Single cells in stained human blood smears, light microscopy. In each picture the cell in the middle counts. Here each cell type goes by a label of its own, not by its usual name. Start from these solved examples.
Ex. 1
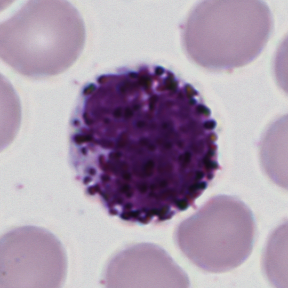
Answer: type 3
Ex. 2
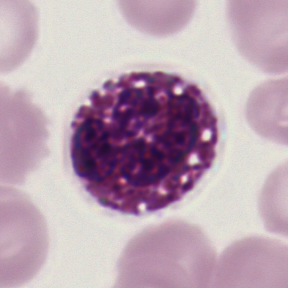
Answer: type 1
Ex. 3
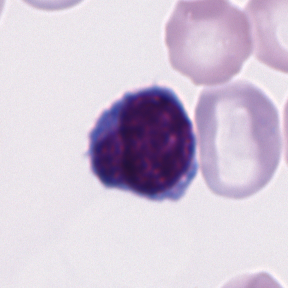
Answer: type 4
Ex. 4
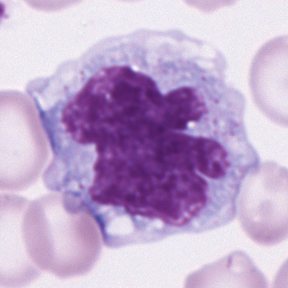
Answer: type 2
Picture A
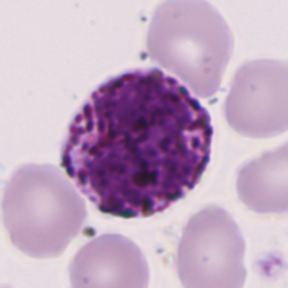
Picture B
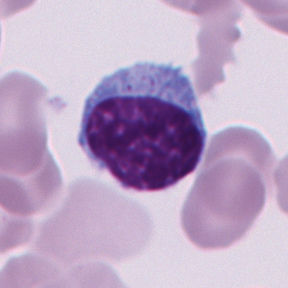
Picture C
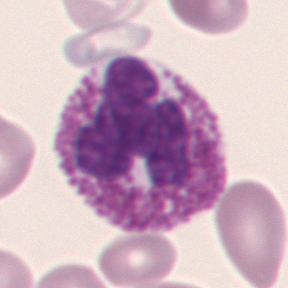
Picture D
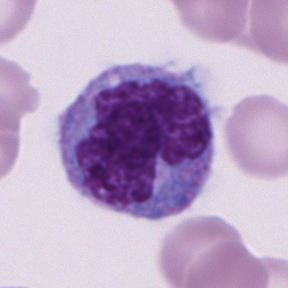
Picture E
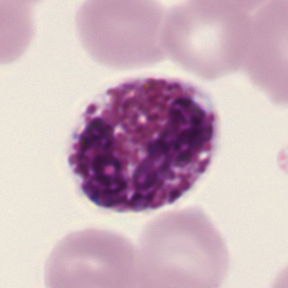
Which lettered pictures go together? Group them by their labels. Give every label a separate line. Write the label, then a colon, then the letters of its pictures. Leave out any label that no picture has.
type 3: A
type 1: C, E
type 4: B
type 2: D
